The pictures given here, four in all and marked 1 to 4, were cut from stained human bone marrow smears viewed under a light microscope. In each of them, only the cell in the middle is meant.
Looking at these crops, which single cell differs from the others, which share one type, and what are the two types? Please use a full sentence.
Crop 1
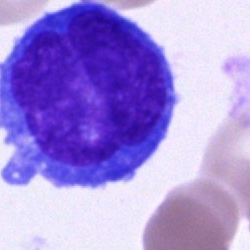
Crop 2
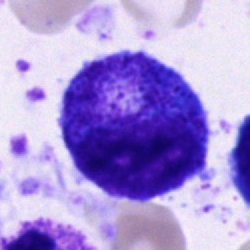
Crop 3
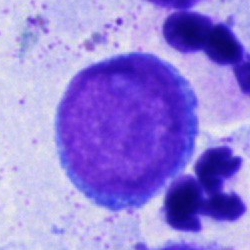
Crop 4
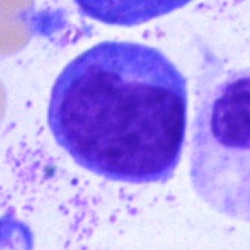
Whereas the other crops show blasts, crop 2 is a promyelocyte.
